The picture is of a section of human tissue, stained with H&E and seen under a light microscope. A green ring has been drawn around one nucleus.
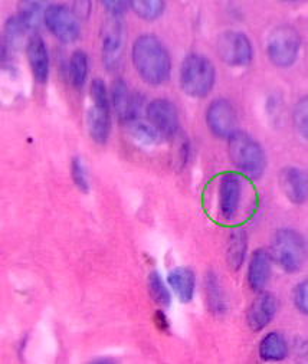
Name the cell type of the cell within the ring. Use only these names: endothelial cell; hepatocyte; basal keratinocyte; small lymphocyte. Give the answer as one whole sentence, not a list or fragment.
Placed in its cell category, the cell within the ring is a basal keratinocyte.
